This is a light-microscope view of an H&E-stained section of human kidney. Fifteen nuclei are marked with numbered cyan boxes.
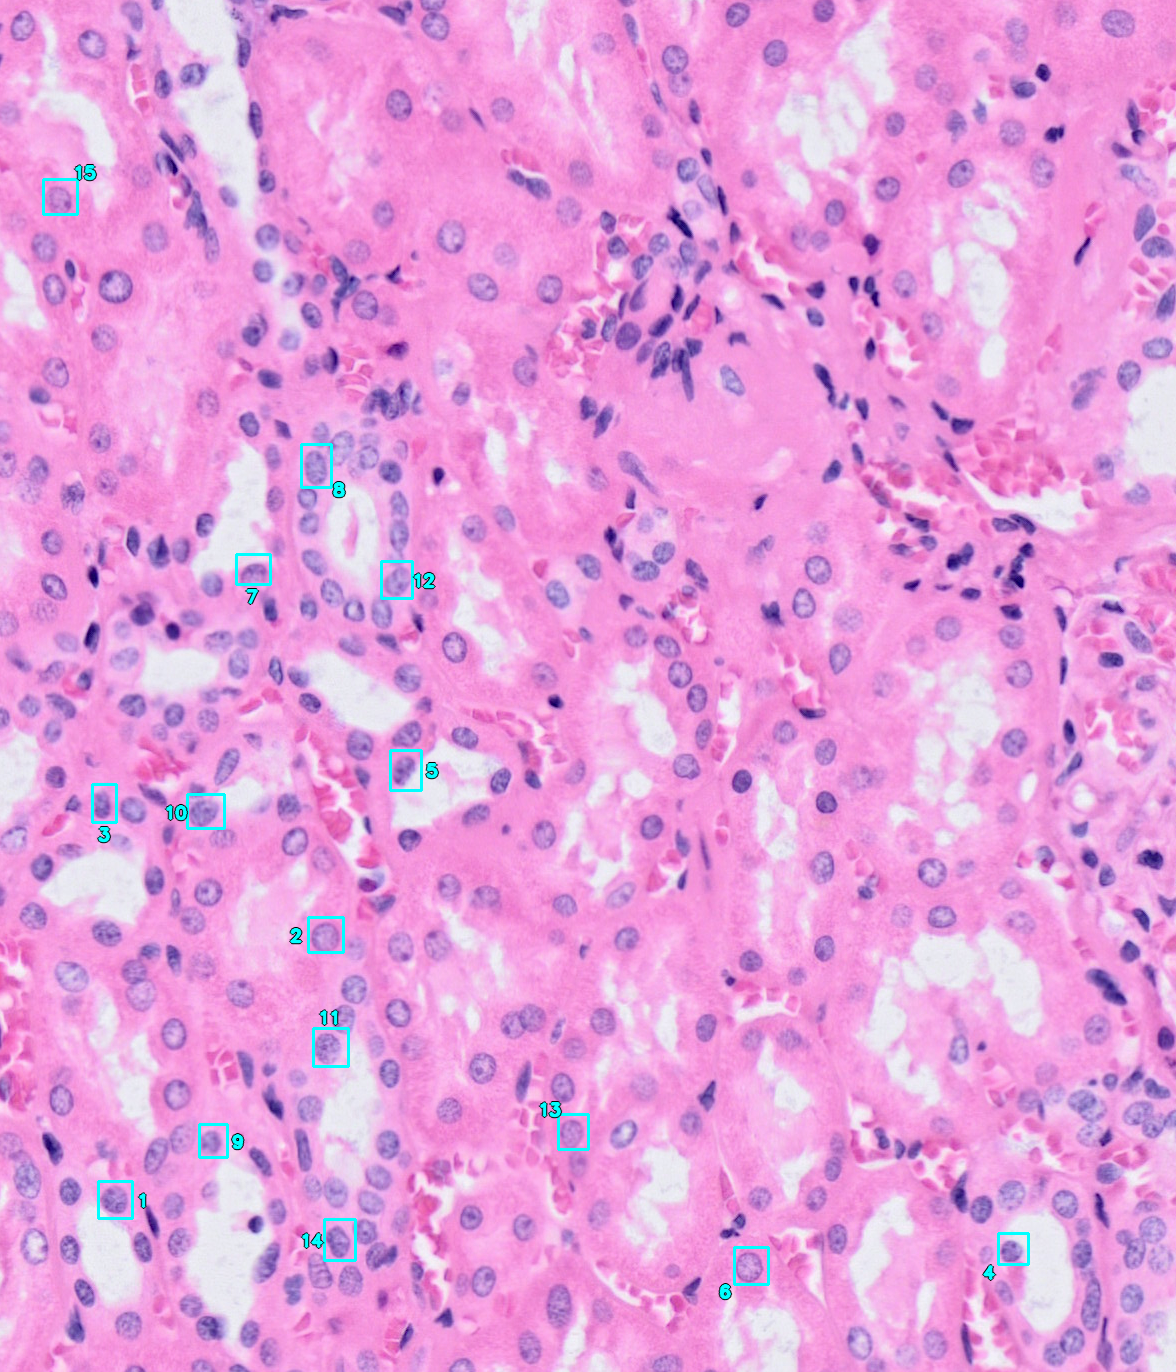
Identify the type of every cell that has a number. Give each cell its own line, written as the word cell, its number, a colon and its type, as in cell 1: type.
cell 1: collecting duct cell
cell 2: proximal tubule cell
cell 3: loop of Henle or distal tubule cell
cell 4: collecting duct cell
cell 5: loop of Henle or distal tubule cell
cell 6: proximal tubule cell
cell 7: loop of Henle or distal tubule cell
cell 8: collecting duct cell
cell 9: loop of Henle or distal tubule cell
cell 10: collecting duct cell
cell 11: collecting duct cell
cell 12: collecting duct cell
cell 13: proximal tubule cell
cell 14: collecting duct cell
cell 15: proximal tubule cell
